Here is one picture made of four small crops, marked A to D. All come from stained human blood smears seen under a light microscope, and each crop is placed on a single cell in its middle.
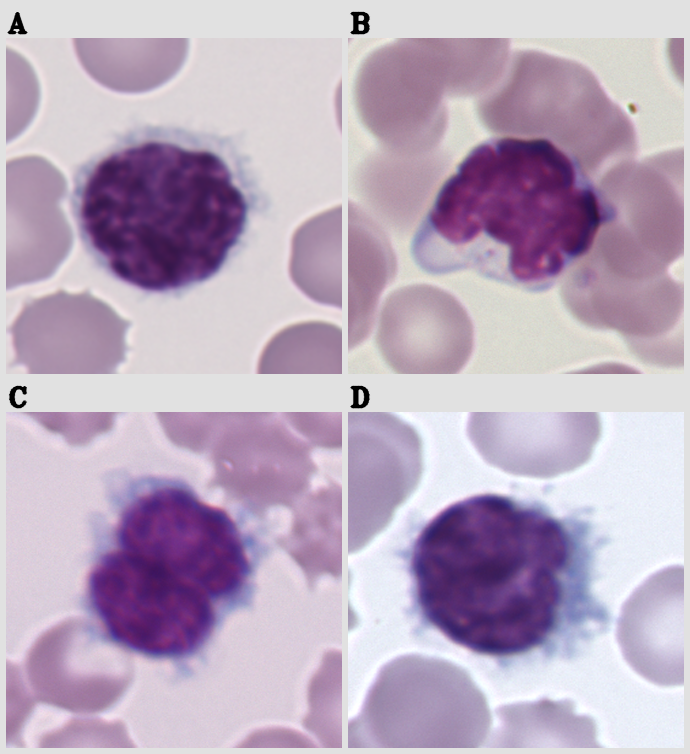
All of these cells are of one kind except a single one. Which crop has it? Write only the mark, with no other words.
B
